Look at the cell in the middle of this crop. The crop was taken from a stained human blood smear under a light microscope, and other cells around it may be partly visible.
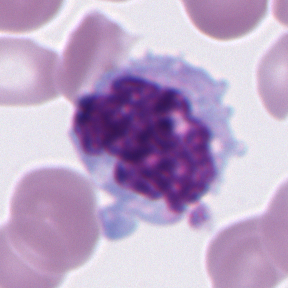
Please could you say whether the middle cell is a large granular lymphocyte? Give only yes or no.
no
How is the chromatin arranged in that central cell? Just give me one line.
Its nuclear chromatin is gathered into coarse clumps.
